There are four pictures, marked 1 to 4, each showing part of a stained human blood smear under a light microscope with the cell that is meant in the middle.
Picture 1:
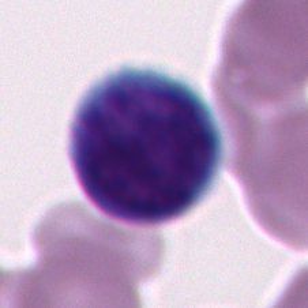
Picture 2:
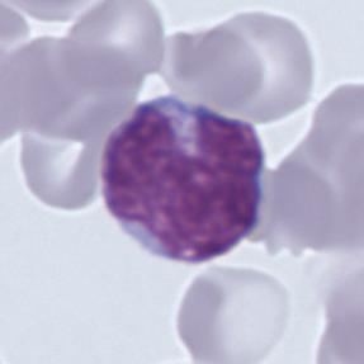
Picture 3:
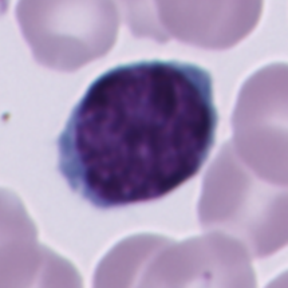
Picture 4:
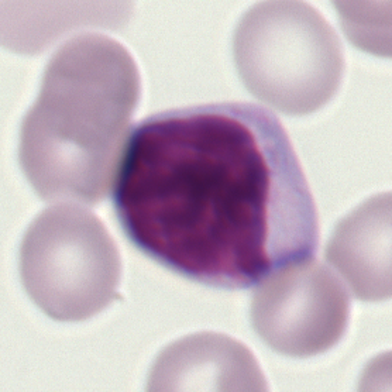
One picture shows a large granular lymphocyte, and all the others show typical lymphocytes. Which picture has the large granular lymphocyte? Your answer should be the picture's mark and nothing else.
4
